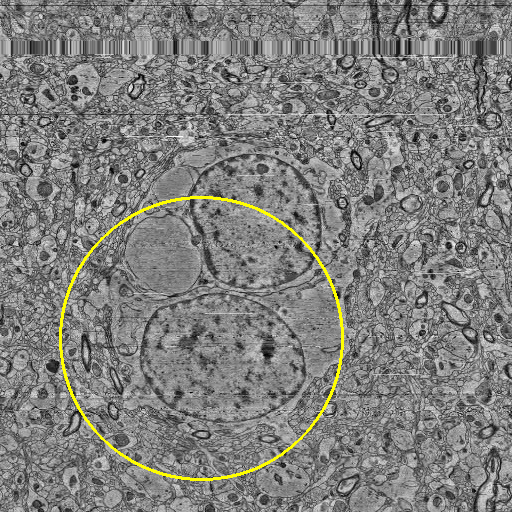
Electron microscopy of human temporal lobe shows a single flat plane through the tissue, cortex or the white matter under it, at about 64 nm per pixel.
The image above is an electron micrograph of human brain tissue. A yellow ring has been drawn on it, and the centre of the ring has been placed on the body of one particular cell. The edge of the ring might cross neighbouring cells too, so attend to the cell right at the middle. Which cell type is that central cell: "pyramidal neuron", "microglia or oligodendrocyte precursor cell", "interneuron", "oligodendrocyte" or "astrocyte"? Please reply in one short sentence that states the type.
The central cell in the ring is an astrocyte.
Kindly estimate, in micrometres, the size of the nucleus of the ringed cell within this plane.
The nucleus comes to roughly 11 by 8 micrometres in this plane.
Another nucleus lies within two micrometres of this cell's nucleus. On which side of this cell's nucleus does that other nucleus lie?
The second nucleus lies above it.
